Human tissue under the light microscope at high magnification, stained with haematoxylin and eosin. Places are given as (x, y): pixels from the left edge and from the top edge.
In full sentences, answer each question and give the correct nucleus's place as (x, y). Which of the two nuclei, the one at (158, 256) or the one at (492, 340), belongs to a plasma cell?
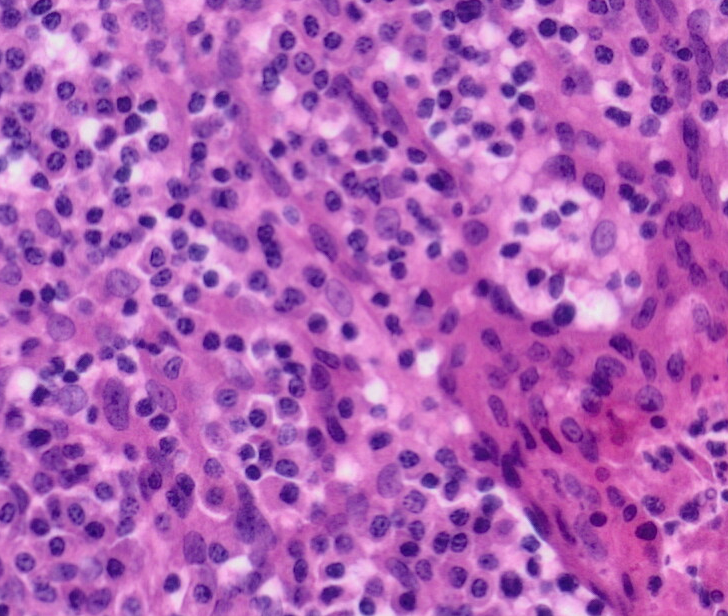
The nucleus located at (158, 256) is the one held within a plasma cell.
